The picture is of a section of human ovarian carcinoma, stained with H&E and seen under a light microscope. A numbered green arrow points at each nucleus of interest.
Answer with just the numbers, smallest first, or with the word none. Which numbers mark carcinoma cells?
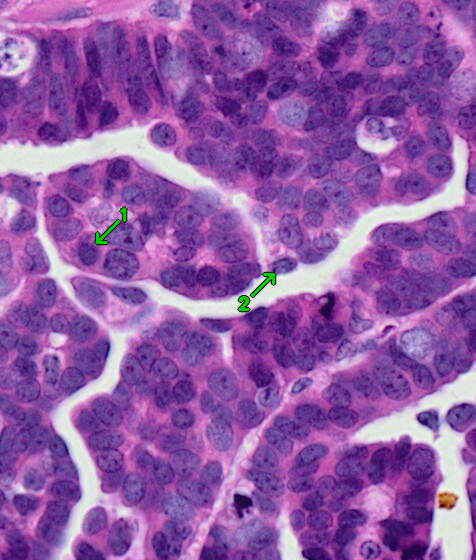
1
